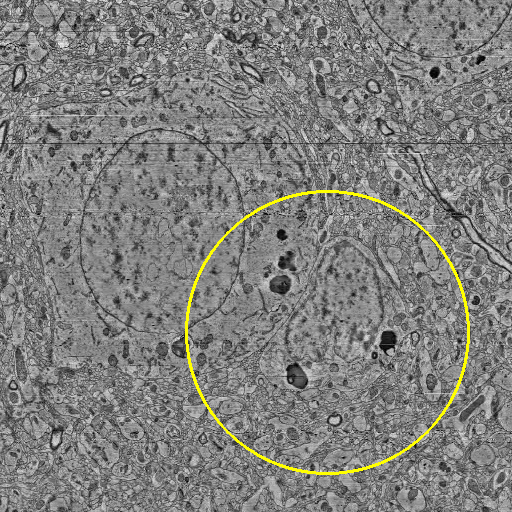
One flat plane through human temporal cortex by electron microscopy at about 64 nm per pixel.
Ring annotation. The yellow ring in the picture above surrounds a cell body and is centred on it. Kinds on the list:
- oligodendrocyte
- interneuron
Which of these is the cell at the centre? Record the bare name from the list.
interneuron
